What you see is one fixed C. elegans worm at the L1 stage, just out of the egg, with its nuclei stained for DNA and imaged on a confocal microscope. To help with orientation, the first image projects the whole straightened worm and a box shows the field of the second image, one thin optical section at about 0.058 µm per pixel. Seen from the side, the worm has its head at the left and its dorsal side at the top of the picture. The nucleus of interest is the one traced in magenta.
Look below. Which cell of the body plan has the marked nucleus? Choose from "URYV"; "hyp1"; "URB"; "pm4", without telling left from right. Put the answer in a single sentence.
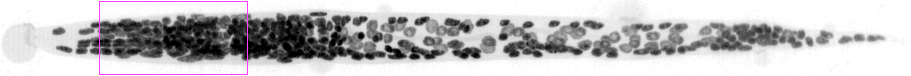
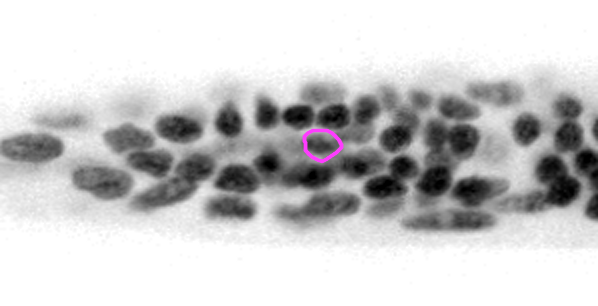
The cell whose nucleus is marked is pm4, a pharyngeal muscle cell.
